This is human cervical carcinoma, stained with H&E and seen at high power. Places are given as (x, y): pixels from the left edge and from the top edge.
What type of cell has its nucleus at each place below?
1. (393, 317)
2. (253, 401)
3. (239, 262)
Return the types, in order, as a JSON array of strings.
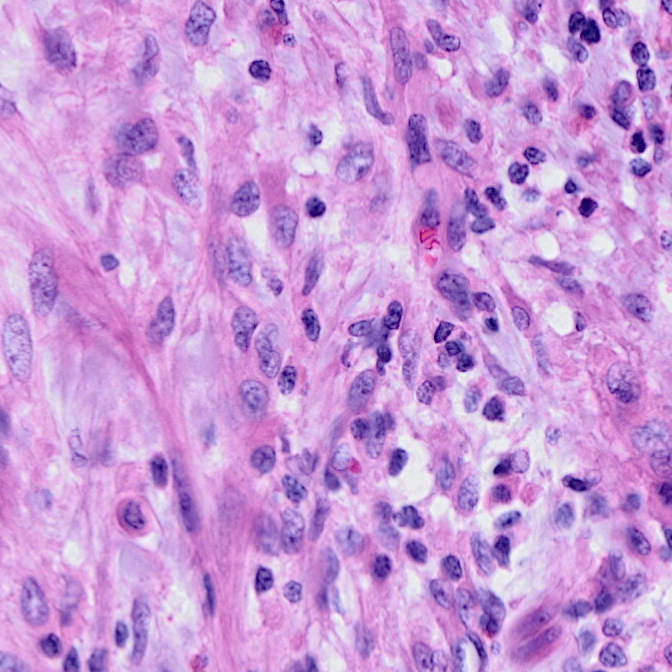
["lymphocyte", "endothelial cell", "endothelial cell"]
